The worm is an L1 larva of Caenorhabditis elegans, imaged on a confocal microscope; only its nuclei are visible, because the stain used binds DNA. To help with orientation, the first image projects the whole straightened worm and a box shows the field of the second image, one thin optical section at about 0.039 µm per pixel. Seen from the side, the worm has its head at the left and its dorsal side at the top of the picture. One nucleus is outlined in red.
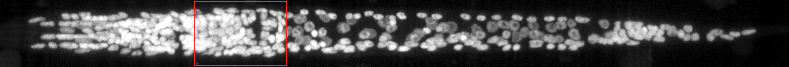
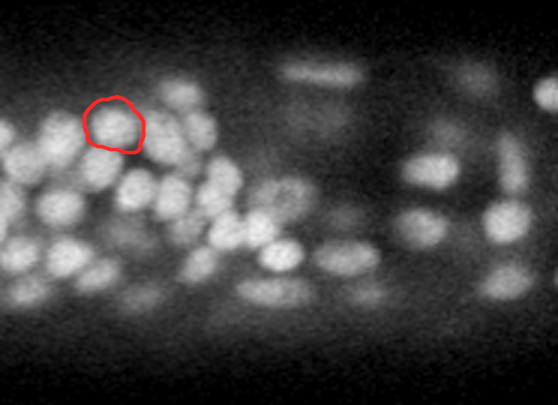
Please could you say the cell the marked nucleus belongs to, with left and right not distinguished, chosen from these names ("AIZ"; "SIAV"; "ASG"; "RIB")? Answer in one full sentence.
This is the nucleus of ASG, a neuron.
